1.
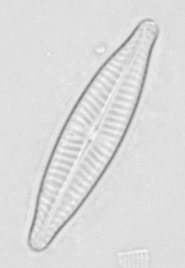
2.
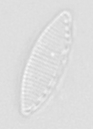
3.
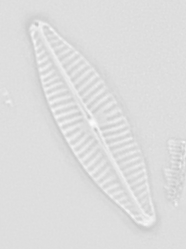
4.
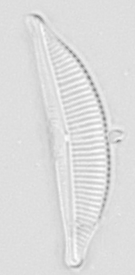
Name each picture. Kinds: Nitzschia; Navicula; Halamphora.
(1) Navicula
(2) Nitzschia
(3) Navicula
(4) Halamphora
